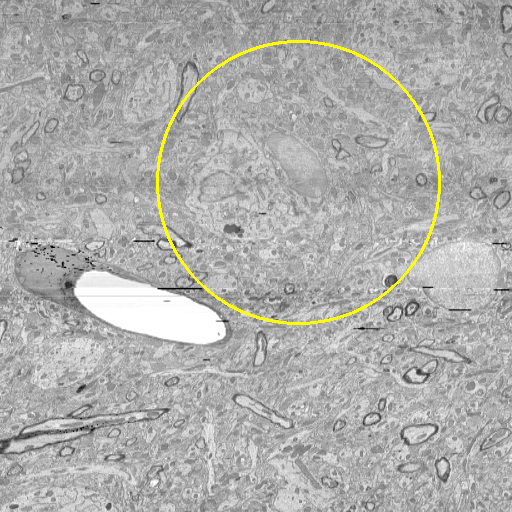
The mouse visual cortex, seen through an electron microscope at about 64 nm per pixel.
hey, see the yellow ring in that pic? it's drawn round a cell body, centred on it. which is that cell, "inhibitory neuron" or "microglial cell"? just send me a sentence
The cell in the ring is a microglial cell.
